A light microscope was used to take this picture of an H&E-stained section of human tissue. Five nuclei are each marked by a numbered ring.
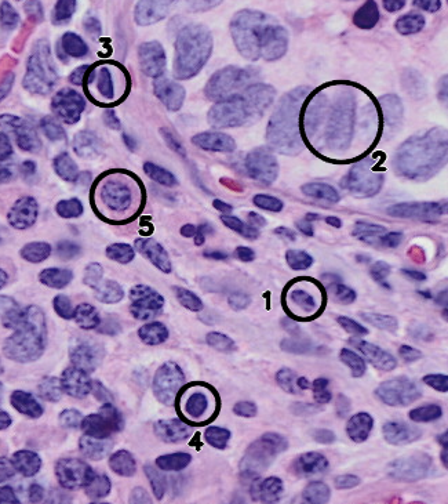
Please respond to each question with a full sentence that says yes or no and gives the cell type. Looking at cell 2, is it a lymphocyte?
No, cell 2 is correctly identified as a carcinoma cell and not as a lymphocyte.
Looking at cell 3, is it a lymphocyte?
Yes, cell 3 is a lymphocyte in this tissue section.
